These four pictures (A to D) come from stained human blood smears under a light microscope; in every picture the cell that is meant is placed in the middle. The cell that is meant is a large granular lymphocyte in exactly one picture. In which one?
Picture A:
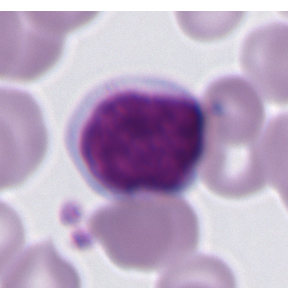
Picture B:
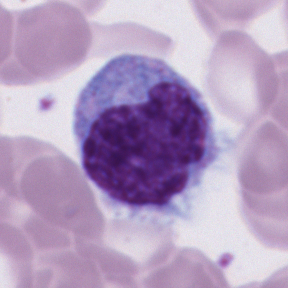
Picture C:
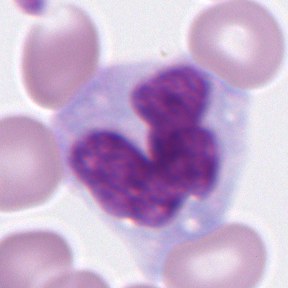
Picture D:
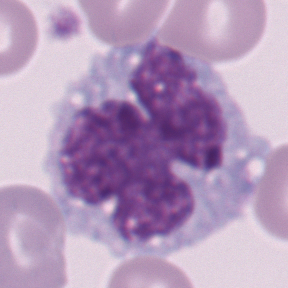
A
